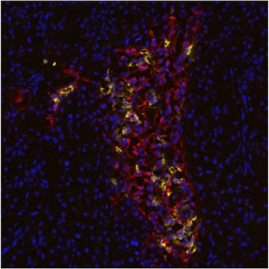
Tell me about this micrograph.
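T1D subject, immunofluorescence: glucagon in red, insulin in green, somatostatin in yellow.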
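This is a pancreatic islet, but it looks quite different from a compact round one: it is an elongated, irregular band of endocrine cells running through exocrine tissue whose small blue nuclei fill the rest of the field. Within the band the cells are stained red and yellow, red cells forming much of it and yellow cells scattered through it in clumps. Green-stained cells are hardly to be seen. A few small red and yellow groups also lie apart from the main band at the left.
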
